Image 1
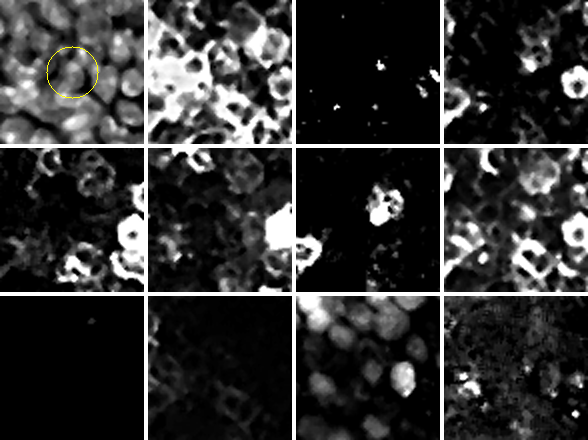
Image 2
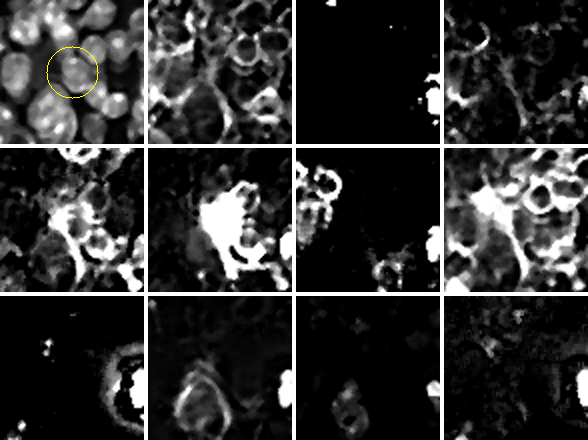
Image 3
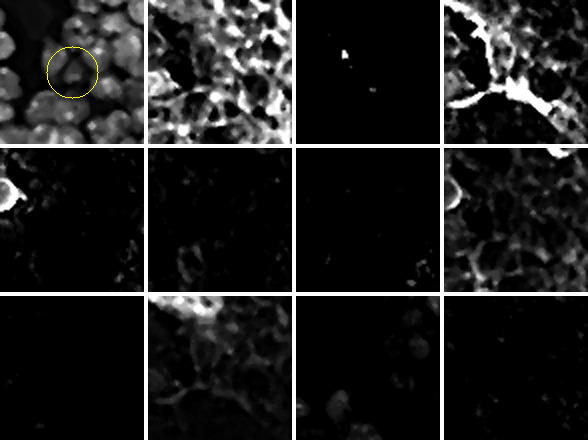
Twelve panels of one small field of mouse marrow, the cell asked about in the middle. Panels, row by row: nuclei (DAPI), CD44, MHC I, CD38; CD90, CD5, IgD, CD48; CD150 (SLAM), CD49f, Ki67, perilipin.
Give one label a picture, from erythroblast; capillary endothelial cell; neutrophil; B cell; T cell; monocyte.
Picture 1: B cell
Picture 2: T cell
Picture 3: neutrophil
